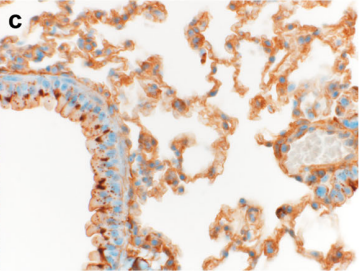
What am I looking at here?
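This is lung tissue, with a small airway on the left and alveoli filling the rest of the field. The thin alveolar walls are outlined in brown, marking the flat and the rounder cells that line the air spaces. A small vessel at the lower right also shows brown staining of its lining.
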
